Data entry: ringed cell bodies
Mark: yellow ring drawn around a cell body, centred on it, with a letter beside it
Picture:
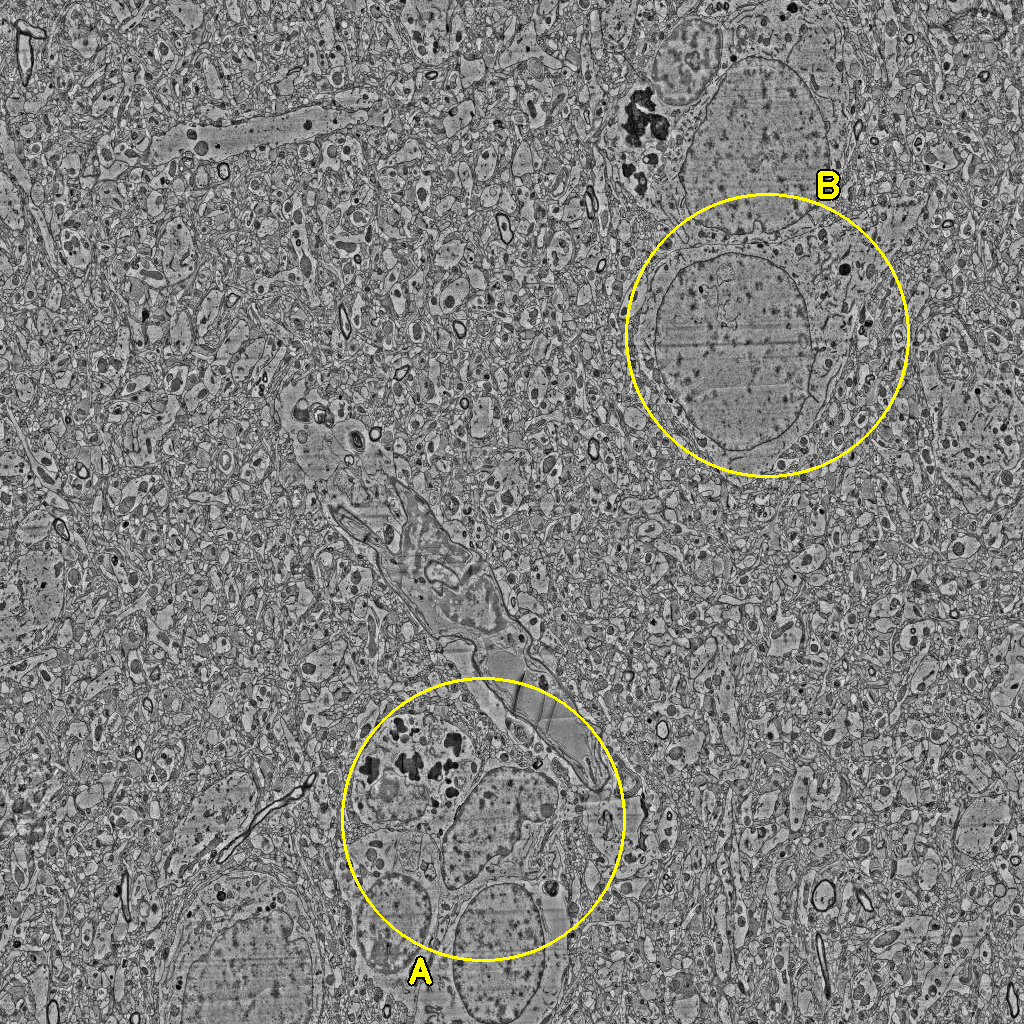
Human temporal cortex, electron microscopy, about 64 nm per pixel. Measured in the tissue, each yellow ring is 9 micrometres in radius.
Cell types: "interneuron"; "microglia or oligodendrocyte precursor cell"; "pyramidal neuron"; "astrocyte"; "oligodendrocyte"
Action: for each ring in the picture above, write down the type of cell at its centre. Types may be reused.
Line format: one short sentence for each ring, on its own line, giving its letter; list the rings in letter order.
For ring A, the cell at the centre is a microglial cell or oligodendrocyte precursor cell.
For ring B, the cell at the centre is a pyramidal neuron.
